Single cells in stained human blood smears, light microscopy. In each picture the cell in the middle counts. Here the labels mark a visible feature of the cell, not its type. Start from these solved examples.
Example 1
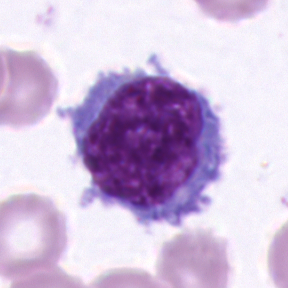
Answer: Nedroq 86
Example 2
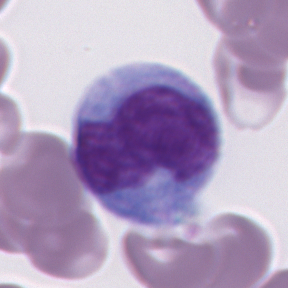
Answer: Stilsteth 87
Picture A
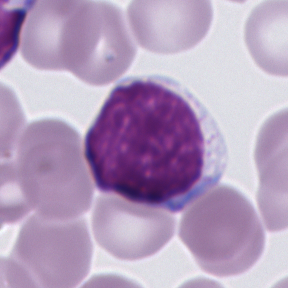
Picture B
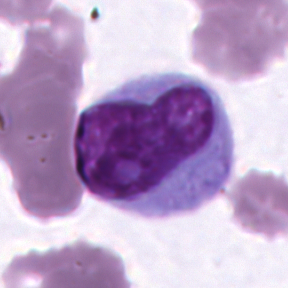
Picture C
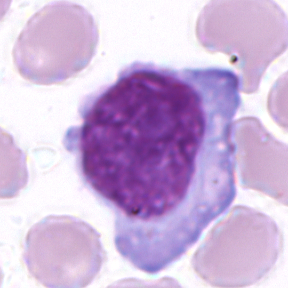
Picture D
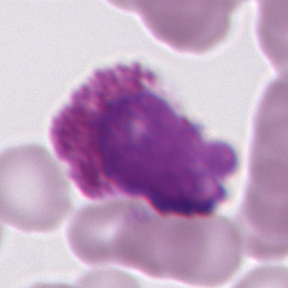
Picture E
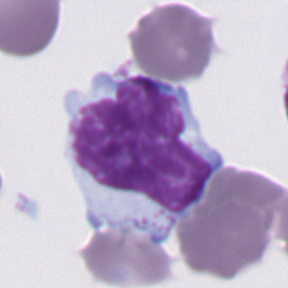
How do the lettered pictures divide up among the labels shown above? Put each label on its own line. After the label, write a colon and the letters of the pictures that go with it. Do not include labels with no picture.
Nedroq 86: C, D, E
Stilsteth 87: A, B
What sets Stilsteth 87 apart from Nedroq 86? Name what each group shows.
In Stilsteth 87: smooth outline. In Nedroq 86: ragged outline or projections.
